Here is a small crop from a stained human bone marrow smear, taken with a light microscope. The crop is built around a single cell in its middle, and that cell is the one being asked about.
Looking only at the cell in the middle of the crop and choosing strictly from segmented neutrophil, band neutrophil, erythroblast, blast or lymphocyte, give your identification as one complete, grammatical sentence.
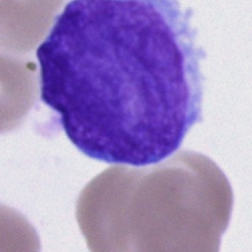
The cell nearest the centre of this crop is a blast.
